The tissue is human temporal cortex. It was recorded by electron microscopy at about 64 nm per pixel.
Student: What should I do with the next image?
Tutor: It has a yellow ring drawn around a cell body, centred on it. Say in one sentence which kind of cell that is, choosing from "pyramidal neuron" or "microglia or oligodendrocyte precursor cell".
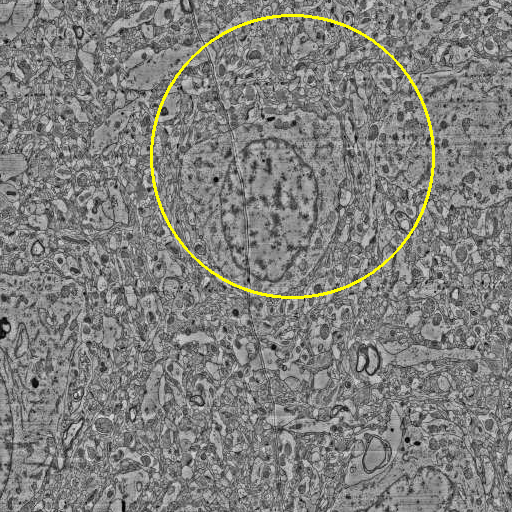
The ring's centre is occupied by a pyramidal neuron.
